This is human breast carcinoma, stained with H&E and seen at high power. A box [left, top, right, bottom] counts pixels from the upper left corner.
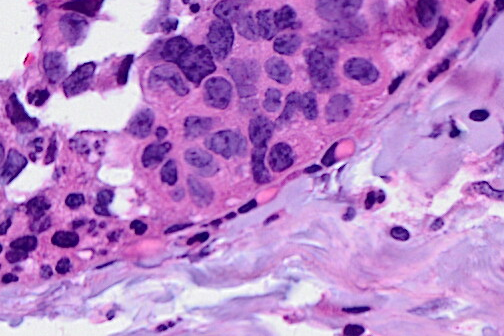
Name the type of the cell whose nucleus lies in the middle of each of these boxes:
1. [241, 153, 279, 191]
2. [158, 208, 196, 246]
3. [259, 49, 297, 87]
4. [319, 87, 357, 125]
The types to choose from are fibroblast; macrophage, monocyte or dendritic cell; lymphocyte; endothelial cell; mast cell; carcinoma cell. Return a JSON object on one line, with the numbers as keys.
{"1": "carcinoma cell", "2": "endothelial cell", "3": "carcinoma cell", "4": "carcinoma cell"}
